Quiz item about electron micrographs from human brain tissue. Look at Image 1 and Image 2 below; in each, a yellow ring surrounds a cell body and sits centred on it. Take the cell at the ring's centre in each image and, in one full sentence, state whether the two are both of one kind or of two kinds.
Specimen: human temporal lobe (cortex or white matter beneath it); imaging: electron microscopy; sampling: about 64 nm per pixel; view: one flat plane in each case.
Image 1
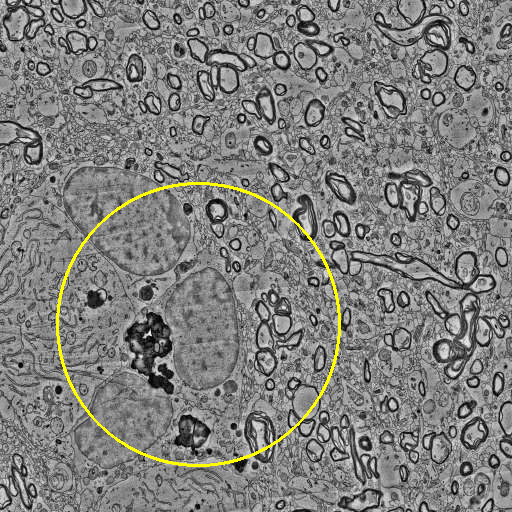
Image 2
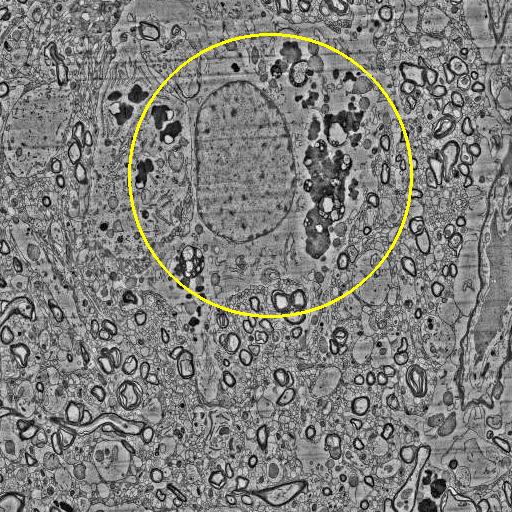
In Image 1 and Image 2, the cells at the ring centres are of two kinds.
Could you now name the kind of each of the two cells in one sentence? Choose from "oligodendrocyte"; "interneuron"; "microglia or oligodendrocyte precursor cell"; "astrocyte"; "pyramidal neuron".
The first ring encloses an oligodendrocyte; the second ring encloses an astrocyte.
